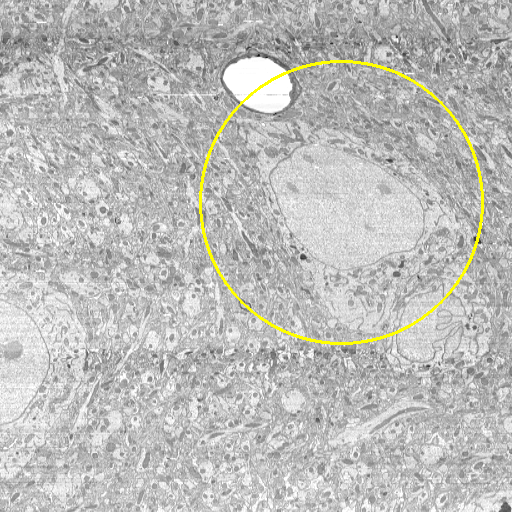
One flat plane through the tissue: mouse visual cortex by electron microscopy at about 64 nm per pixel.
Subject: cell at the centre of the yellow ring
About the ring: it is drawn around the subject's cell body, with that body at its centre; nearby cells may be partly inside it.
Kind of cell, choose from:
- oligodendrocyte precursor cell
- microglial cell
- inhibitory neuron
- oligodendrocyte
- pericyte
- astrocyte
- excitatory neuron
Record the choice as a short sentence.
The subject cell is an excitatory neuron.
